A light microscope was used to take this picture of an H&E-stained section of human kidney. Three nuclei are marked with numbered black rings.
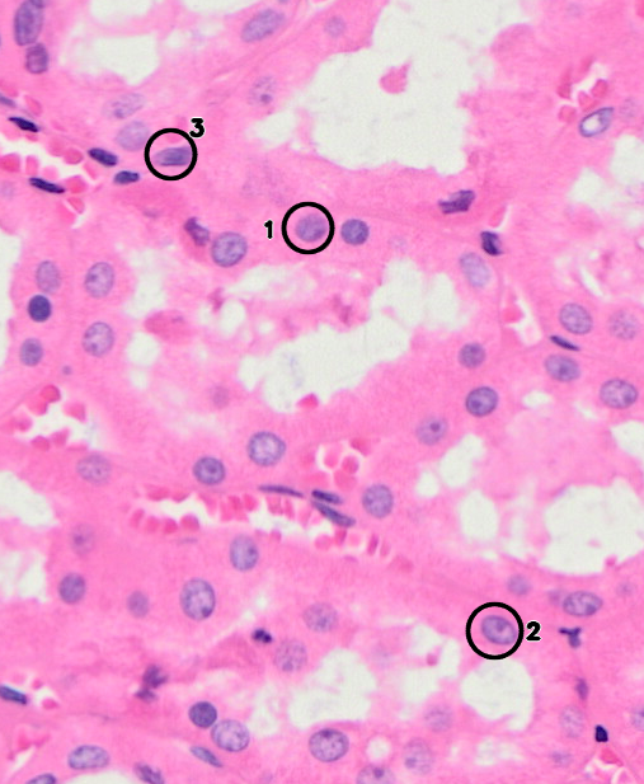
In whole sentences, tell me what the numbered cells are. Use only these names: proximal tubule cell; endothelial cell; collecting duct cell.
Cells 1 and 2 are proximal tubule cells. Cell 3 is an endothelial cell.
